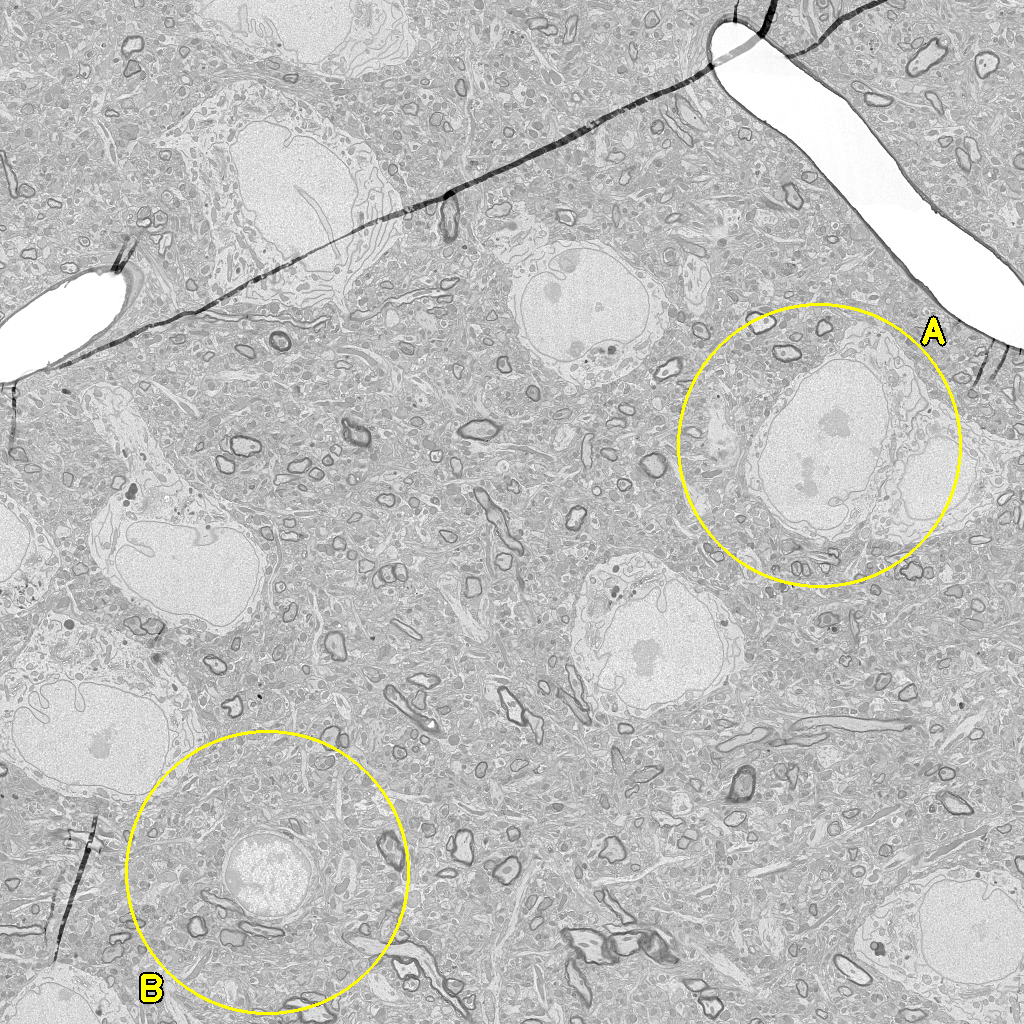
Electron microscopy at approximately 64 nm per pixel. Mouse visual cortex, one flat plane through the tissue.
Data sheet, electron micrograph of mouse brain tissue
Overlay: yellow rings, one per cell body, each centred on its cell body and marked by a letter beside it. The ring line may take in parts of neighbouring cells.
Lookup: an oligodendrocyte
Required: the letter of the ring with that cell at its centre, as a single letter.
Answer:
B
